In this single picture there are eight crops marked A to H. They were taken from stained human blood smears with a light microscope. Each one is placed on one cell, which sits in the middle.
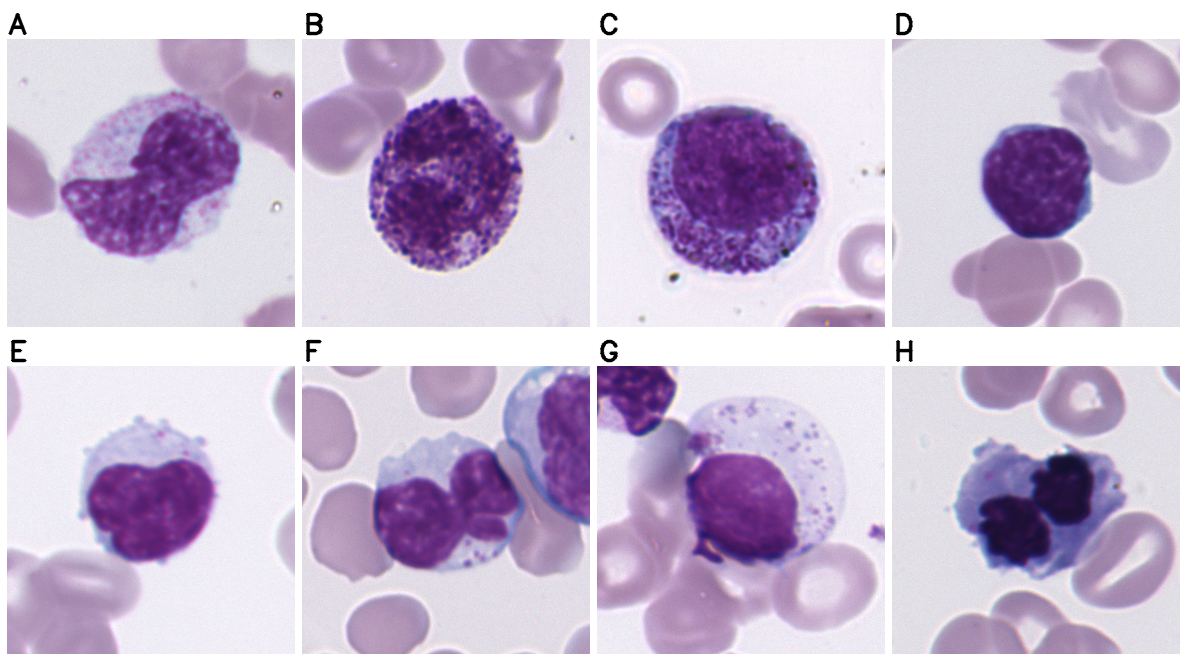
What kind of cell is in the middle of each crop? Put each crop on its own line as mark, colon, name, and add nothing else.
A: band neutrophil
B: basophil
C: promyelocyte
D: typical lymphocyte
E: large granular lymphocyte
F: large granular lymphocyte
G: large granular lymphocyte
H: normoblast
